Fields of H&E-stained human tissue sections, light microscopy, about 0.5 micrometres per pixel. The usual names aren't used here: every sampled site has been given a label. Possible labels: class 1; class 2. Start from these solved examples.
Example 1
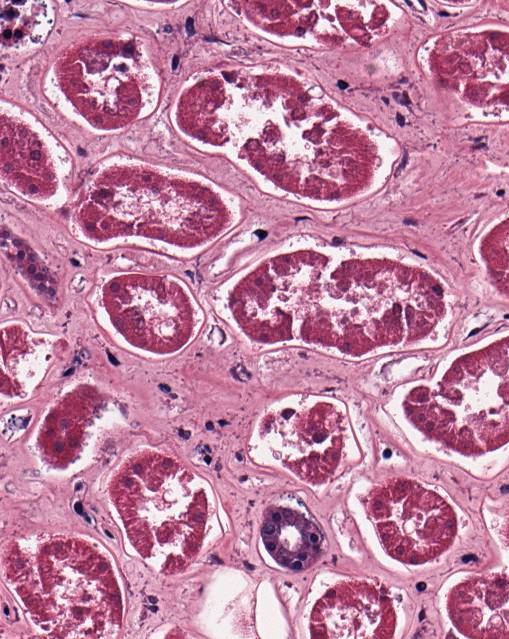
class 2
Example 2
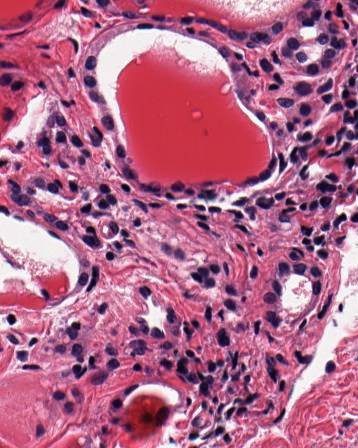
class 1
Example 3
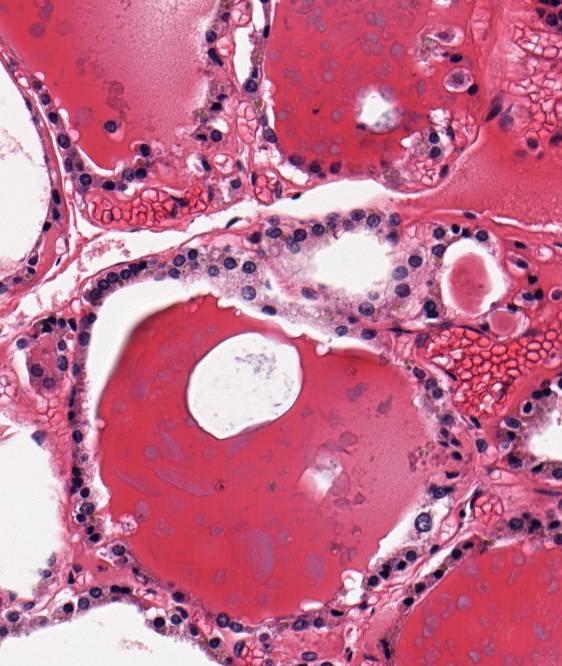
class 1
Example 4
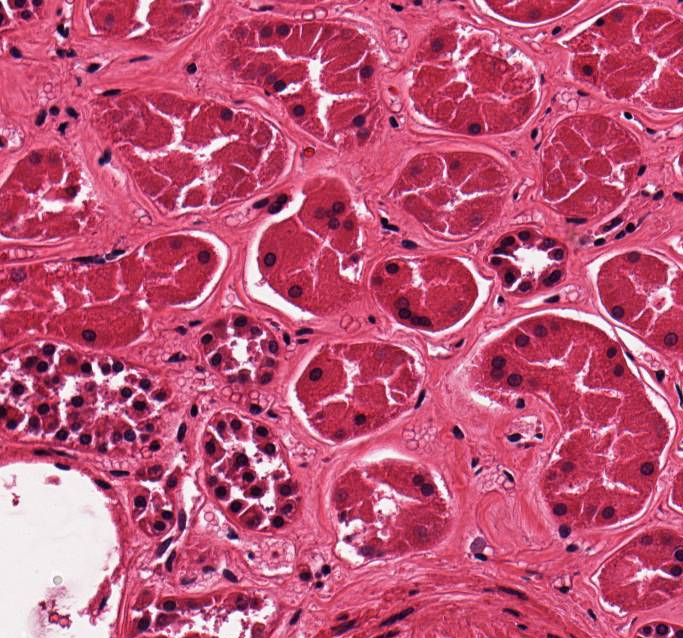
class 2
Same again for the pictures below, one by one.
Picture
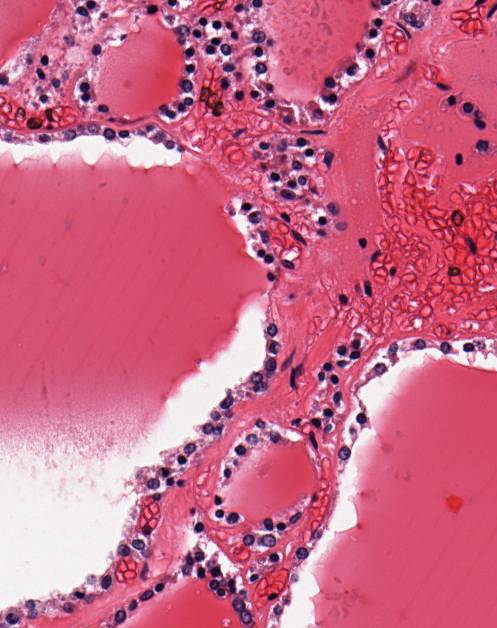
class 1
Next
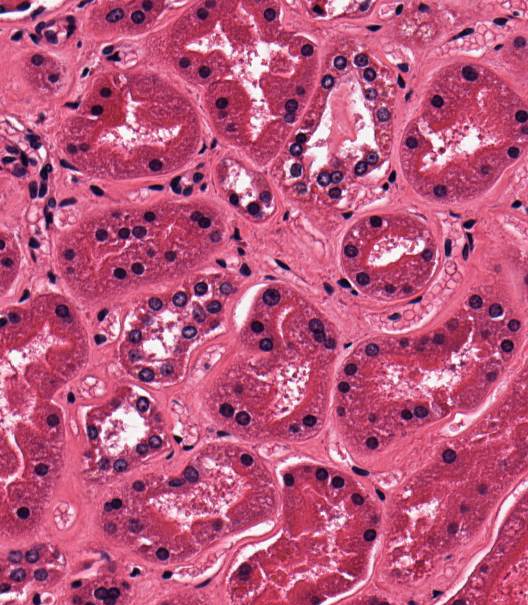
class 2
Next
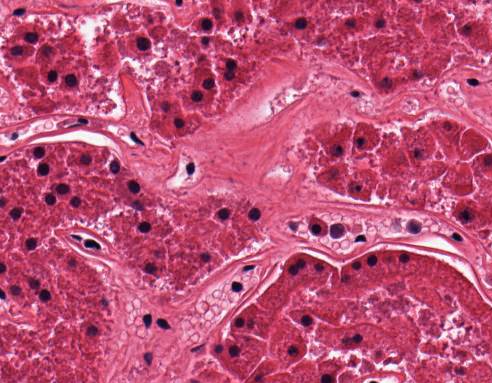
class 2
